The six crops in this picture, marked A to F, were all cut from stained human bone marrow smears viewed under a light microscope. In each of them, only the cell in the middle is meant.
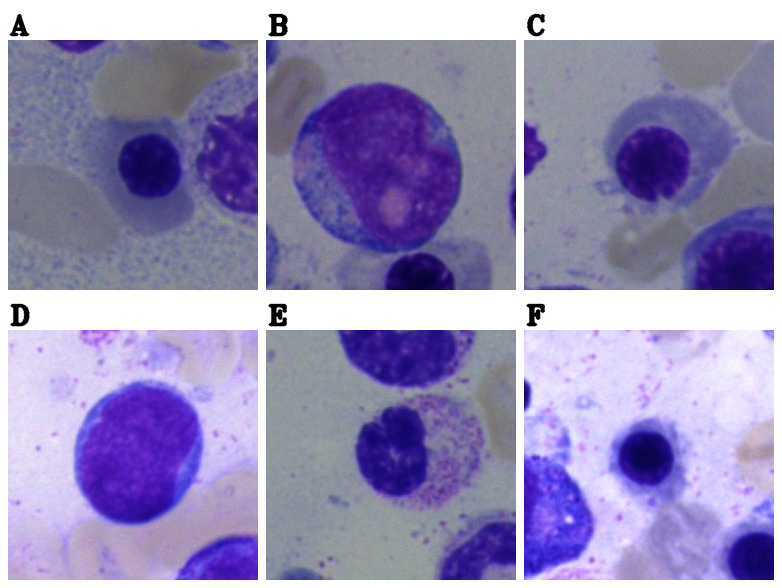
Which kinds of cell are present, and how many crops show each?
normoblast: 3
blast: 2
band neutrophil: 1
